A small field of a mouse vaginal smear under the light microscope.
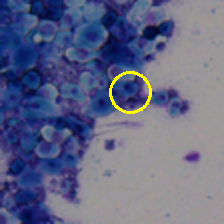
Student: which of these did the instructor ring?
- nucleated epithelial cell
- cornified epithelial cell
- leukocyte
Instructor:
The cell I ringed is a nucleated epithelial cell.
